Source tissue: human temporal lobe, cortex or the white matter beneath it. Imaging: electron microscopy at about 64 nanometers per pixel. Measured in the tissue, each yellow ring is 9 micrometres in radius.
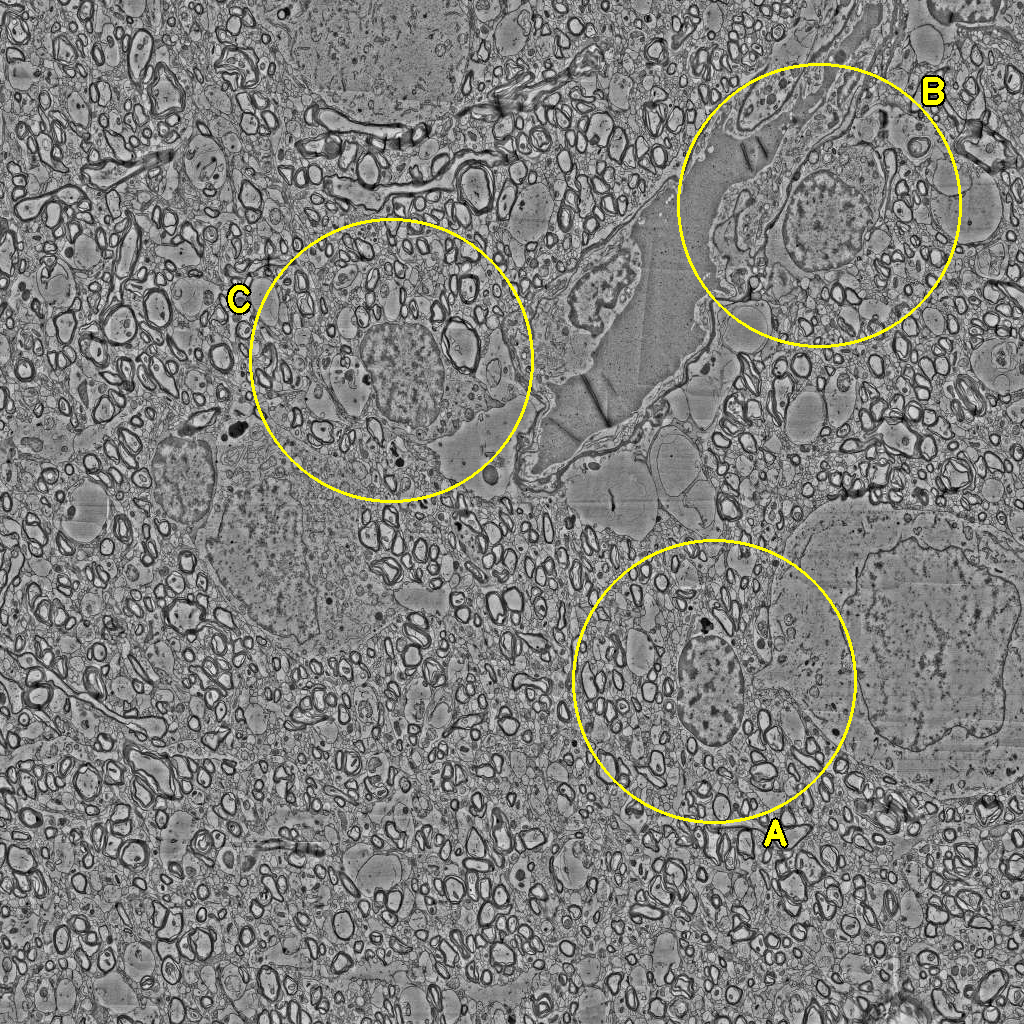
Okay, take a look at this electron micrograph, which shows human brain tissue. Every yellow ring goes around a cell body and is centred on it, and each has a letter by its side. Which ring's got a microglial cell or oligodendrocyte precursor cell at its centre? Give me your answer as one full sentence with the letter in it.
The one you're after is ring A, centred on the cell you asked about.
